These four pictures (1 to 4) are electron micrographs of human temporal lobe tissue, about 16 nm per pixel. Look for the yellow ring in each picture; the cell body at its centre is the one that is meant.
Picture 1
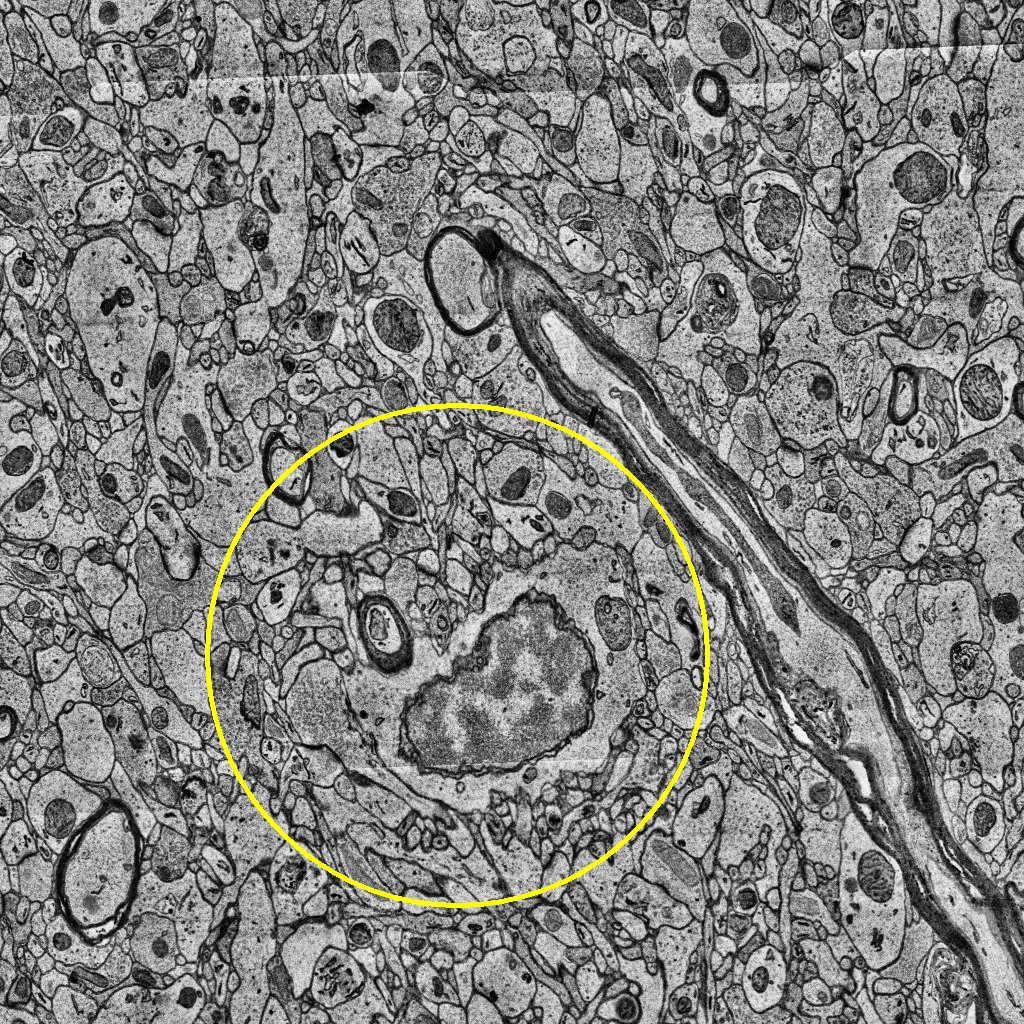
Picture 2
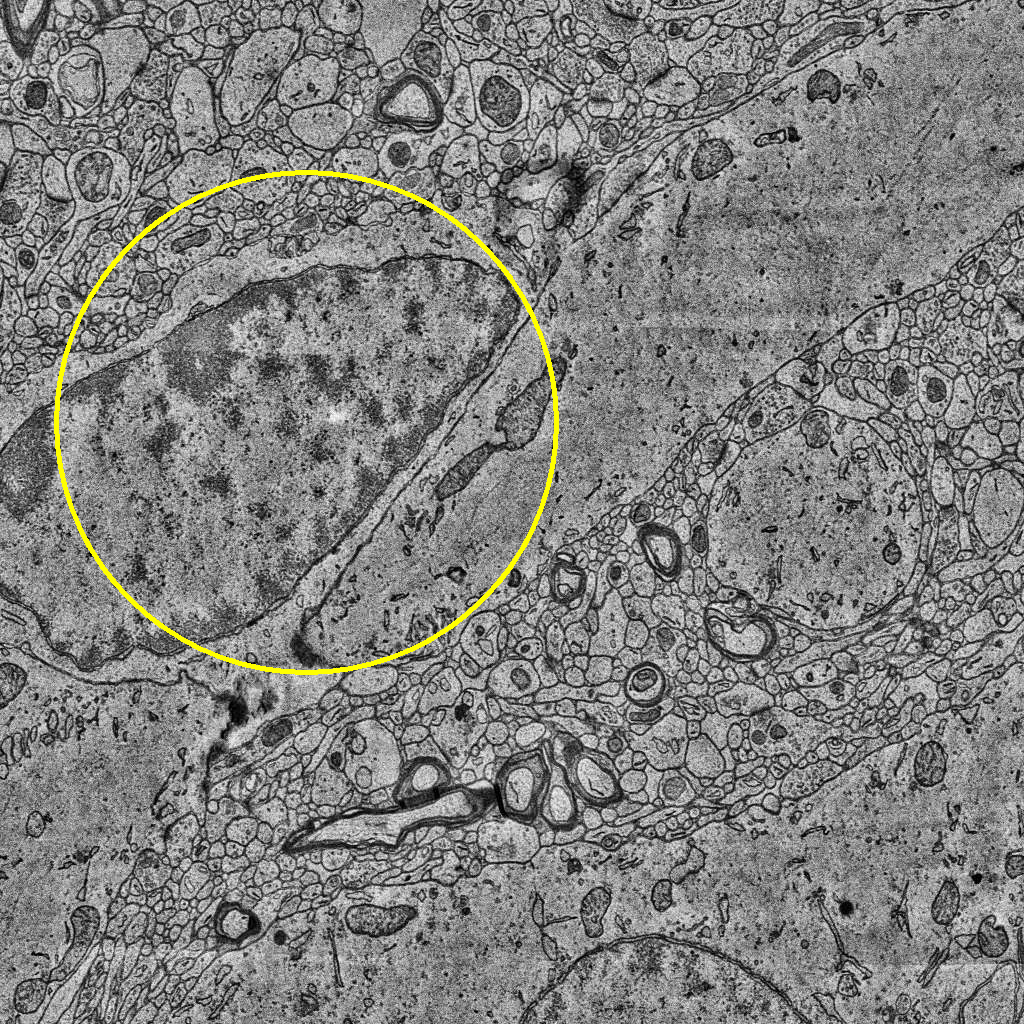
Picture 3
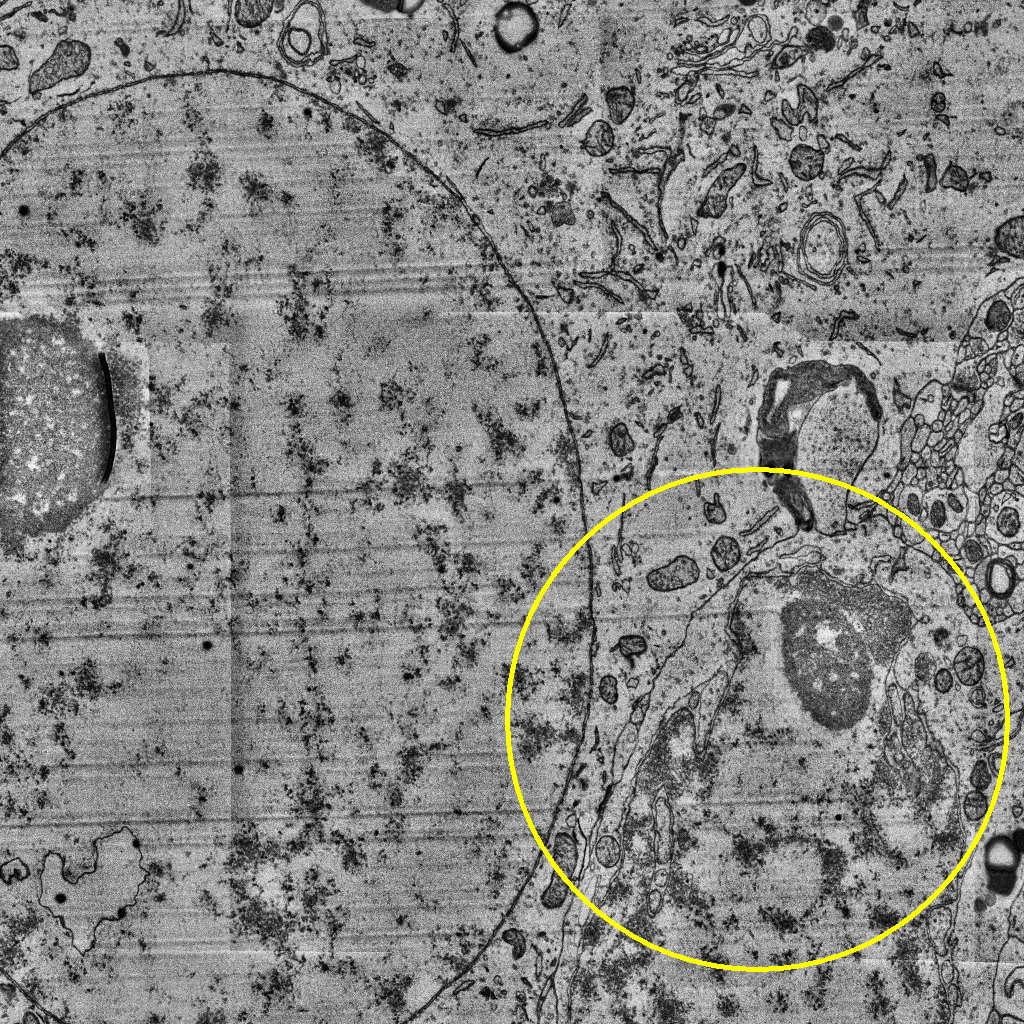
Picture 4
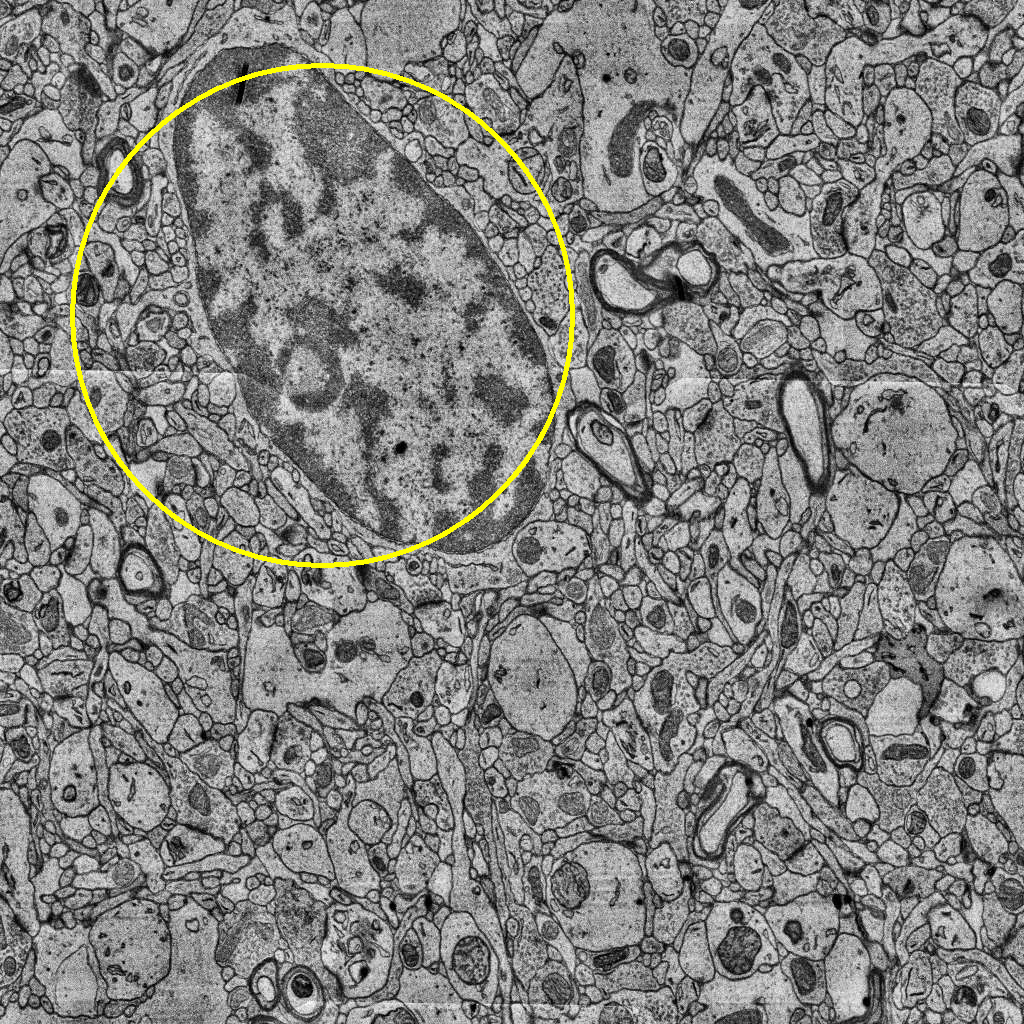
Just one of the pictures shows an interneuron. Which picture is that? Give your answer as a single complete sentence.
The interneuron is the one in picture 3.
